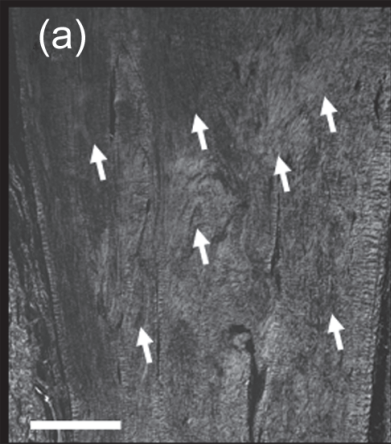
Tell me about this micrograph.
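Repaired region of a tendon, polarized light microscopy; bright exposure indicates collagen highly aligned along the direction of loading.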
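The tissue forms a long band running top to bottom, its fibres showing as fine pale streaks that mostly run lengthwise. The overall brightness is low and uneven: broad dim zones alternate with paler ones. Toward the right edge the tissue shows a regular fine banding across the fibres. Narrow dark clefts and a small dark gap interrupt the tissue lower down.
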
